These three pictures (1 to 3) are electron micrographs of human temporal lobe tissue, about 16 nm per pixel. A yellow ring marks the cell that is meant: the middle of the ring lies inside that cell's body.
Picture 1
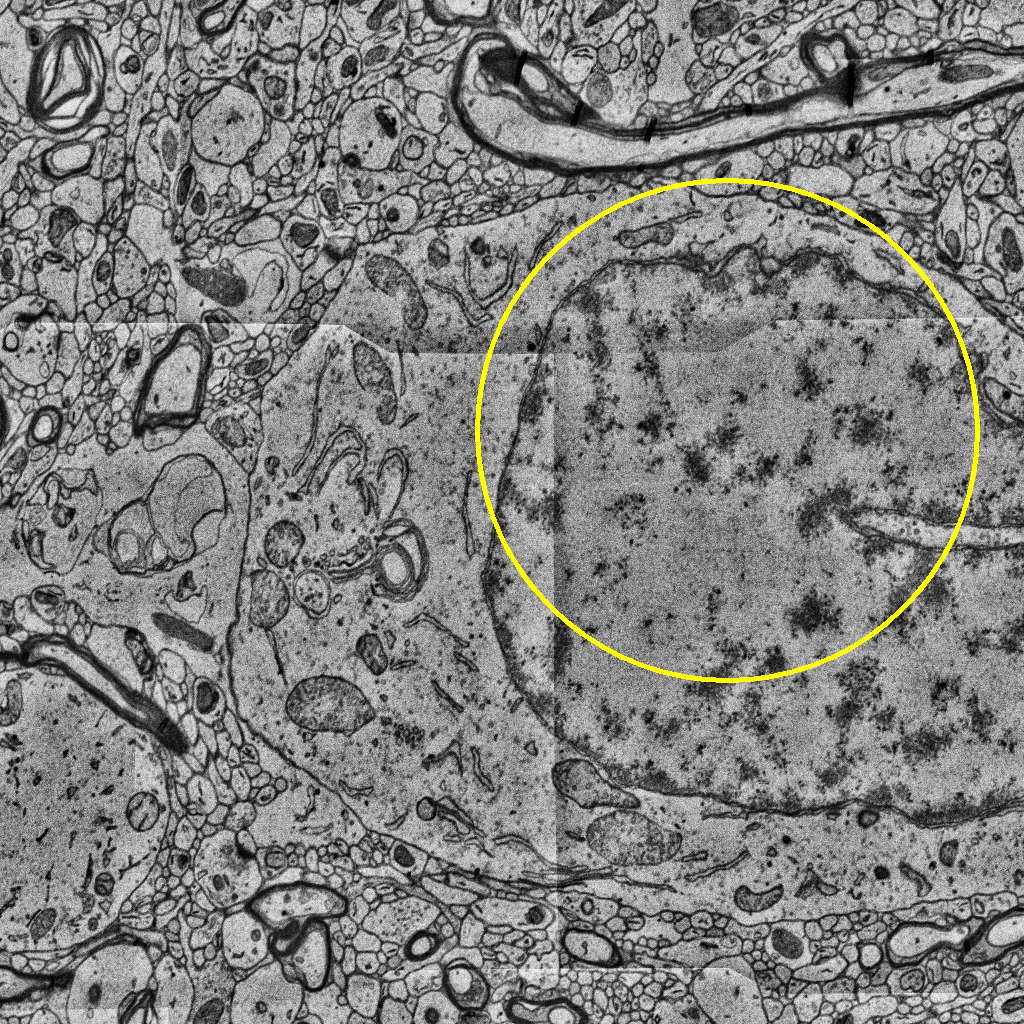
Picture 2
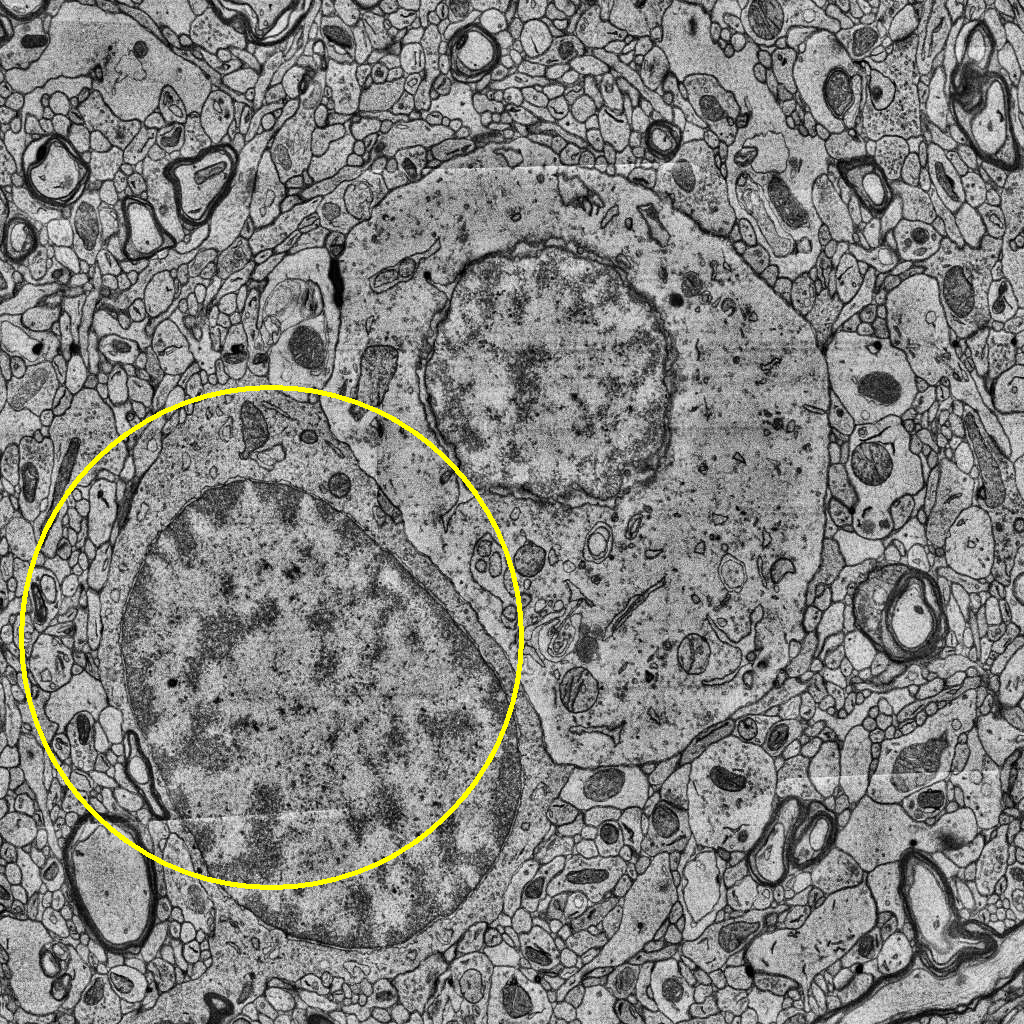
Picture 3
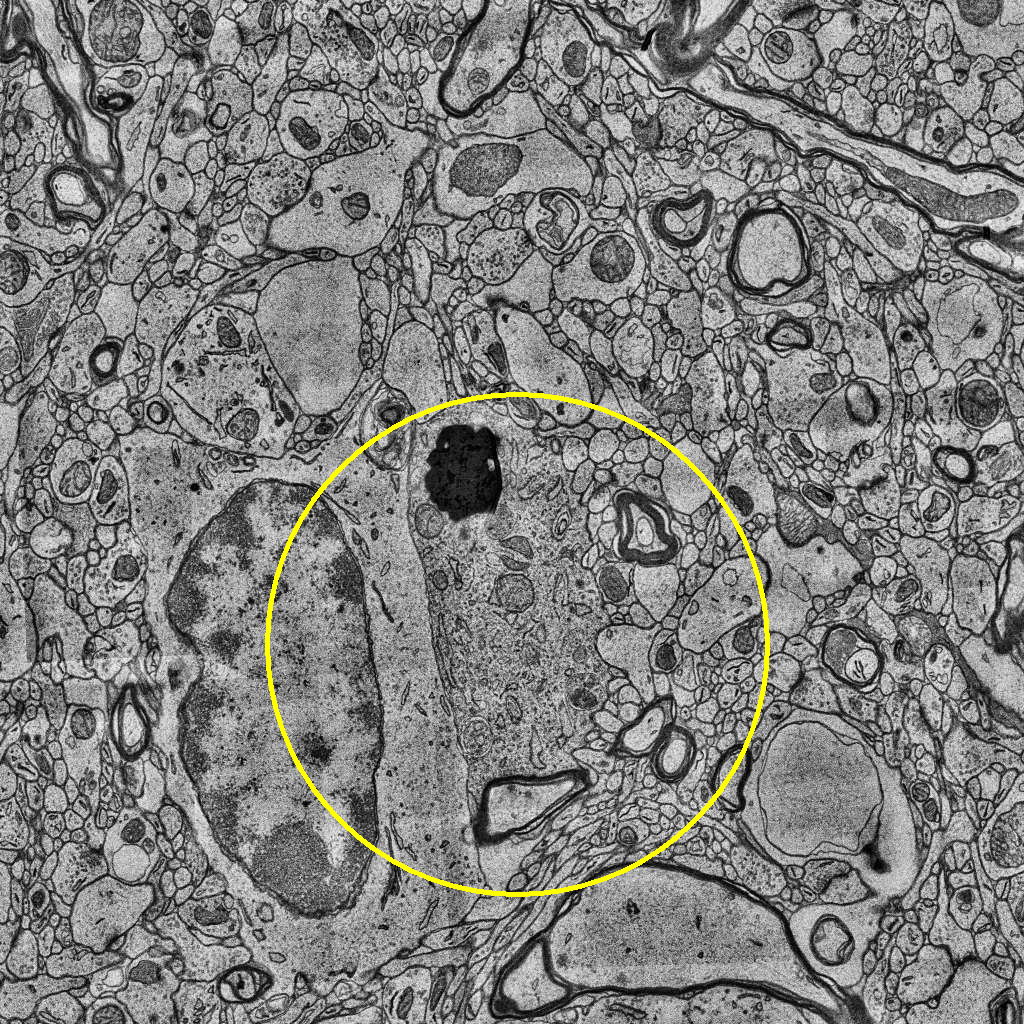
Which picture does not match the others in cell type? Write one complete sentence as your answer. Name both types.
Unlike the rest, which show oligodendrocytes, picture 1 shows an interneuron.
